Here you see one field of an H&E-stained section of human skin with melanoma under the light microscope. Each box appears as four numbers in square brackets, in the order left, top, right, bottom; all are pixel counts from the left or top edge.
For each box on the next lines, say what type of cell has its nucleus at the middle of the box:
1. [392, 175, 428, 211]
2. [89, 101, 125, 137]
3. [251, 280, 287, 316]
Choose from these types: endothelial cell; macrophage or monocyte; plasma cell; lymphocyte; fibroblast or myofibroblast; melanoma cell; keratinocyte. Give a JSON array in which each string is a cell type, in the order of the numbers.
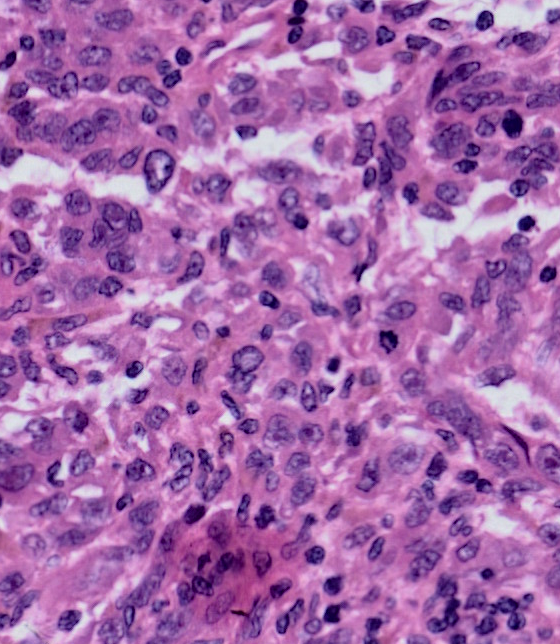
["lymphocyte", "melanoma cell", "lymphocyte"]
